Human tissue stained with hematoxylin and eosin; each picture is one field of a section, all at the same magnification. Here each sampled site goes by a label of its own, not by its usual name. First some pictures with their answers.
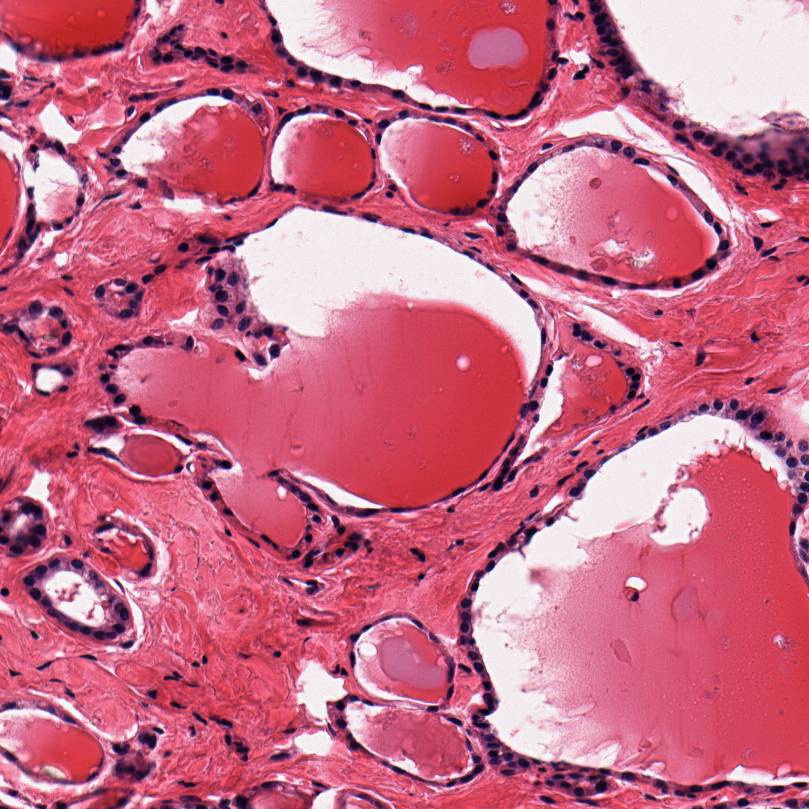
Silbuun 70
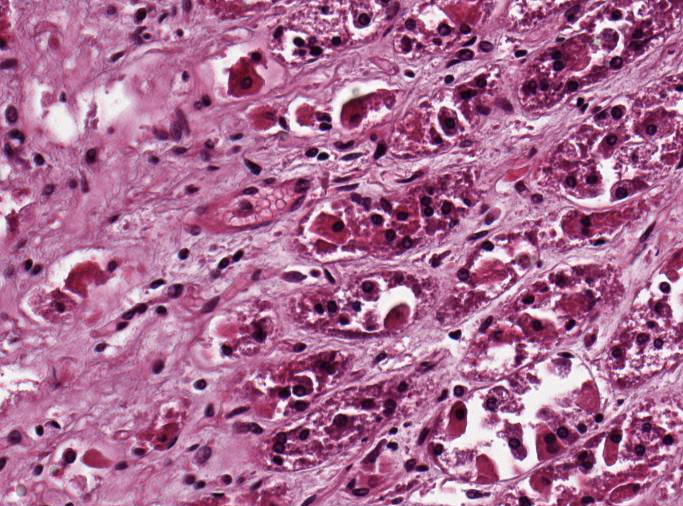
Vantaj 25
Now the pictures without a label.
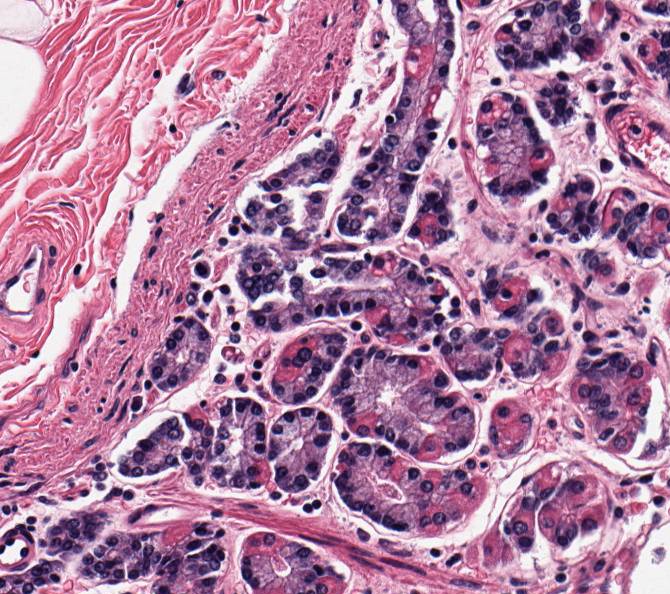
Vantaj 25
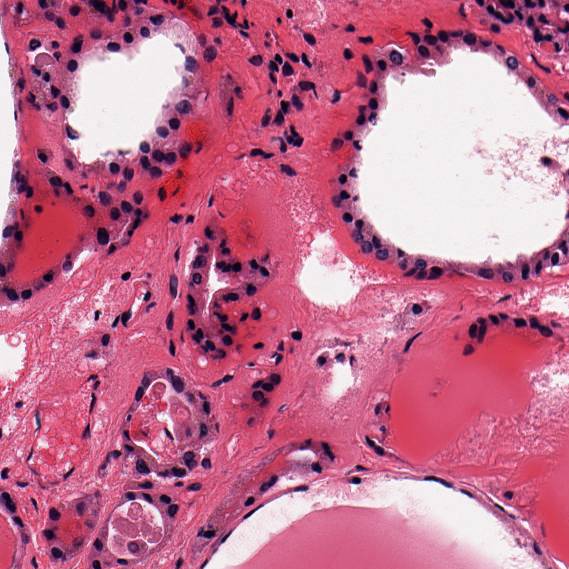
Silbuun 70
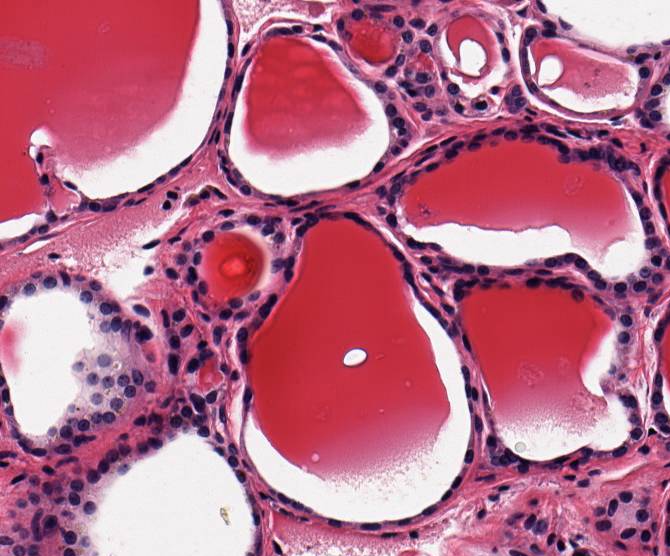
Silbuun 70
